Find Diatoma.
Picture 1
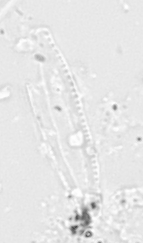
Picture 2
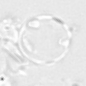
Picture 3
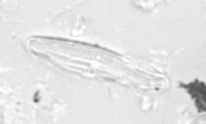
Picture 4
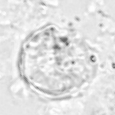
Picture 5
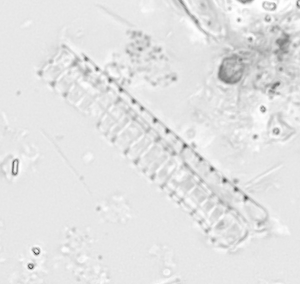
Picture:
5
